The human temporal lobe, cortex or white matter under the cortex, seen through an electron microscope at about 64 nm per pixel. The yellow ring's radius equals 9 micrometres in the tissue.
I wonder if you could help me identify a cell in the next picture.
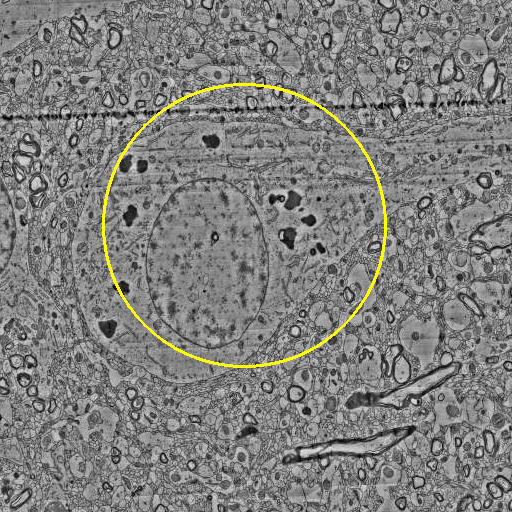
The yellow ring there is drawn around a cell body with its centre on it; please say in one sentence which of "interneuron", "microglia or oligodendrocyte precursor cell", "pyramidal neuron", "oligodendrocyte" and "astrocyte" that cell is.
The yellow ring is centred on a pyramidal neuron.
